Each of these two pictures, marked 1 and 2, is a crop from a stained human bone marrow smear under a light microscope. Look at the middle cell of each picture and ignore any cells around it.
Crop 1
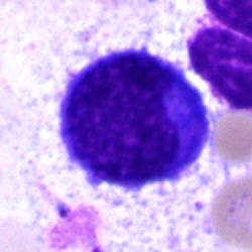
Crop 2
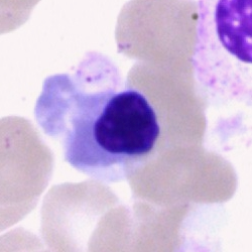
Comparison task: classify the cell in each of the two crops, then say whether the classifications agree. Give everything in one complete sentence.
No, crop 1 presents a blast; crop 2 presents a normoblast.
